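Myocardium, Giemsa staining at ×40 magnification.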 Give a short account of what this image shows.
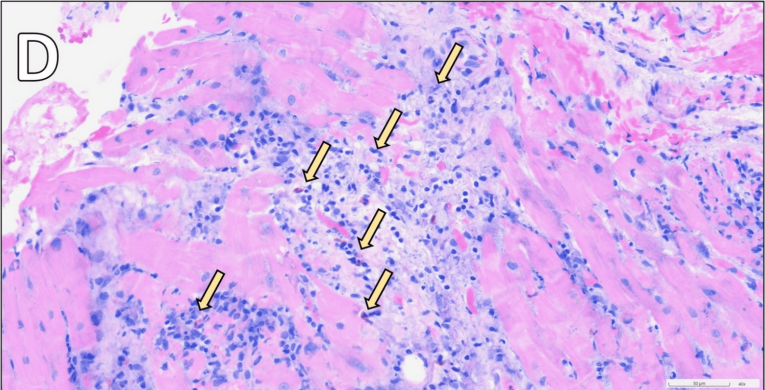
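Heart muscle with pink cardiomyocytes separated by a dense infiltrate of blue-stained inflammatory cells with small dark nuclei. Scattered among them are granulocytes with pink-red cytoplasm. The infiltrate fills the interstitium and extends between the muscle fibres.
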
